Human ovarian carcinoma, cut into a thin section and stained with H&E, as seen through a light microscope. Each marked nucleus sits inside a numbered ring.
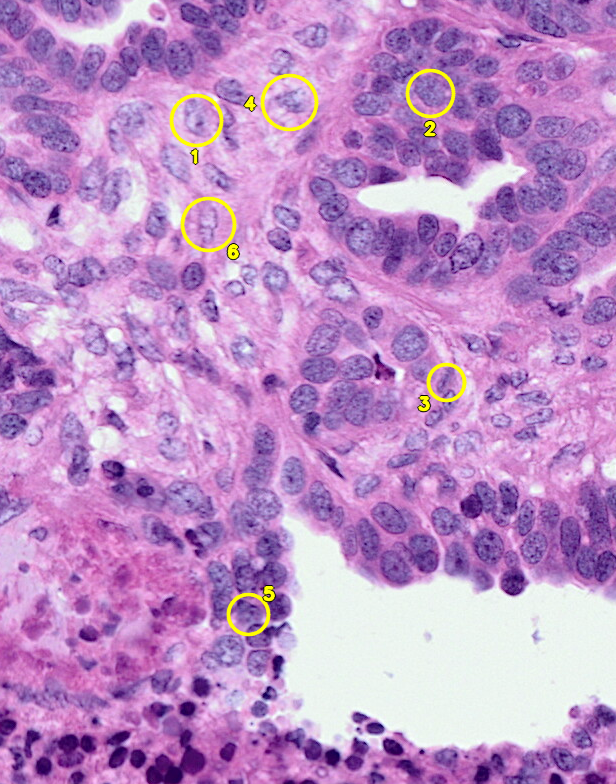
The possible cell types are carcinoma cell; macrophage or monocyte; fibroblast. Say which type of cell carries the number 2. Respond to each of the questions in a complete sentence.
Identified as a carcinoma cell is the cell bearing the number 2.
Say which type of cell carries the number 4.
The correct label for cell 4 is a fibroblast.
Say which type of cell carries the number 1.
What the number 1 marks in this field is a fibroblast.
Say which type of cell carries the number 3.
Cell 3 is classified as a fibroblast.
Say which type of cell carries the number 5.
Cell 5, among those numbered, is a carcinoma cell.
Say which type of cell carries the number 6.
Cell 6, as marked in the section, is a fibroblast.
